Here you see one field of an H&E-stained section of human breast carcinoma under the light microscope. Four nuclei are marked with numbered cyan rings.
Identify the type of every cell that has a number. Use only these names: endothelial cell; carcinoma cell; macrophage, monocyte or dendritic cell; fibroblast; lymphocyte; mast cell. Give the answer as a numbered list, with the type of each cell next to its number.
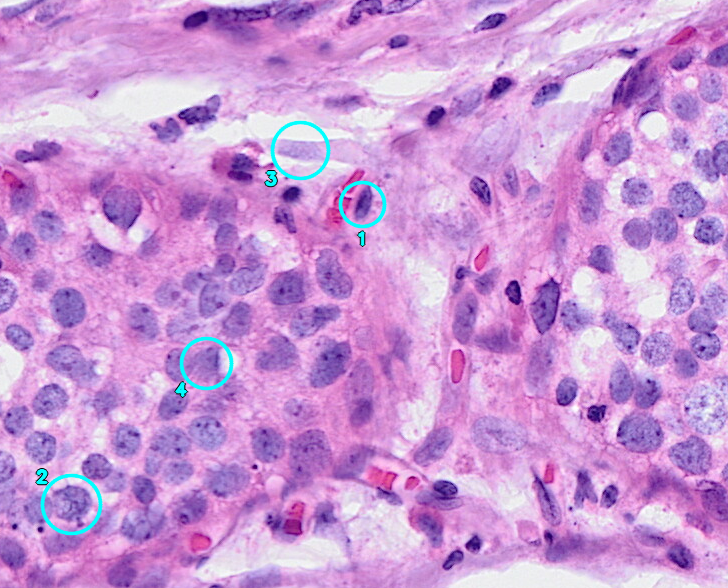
1. endothelial cell
2. carcinoma cell
3. fibroblast
4. carcinoma cell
